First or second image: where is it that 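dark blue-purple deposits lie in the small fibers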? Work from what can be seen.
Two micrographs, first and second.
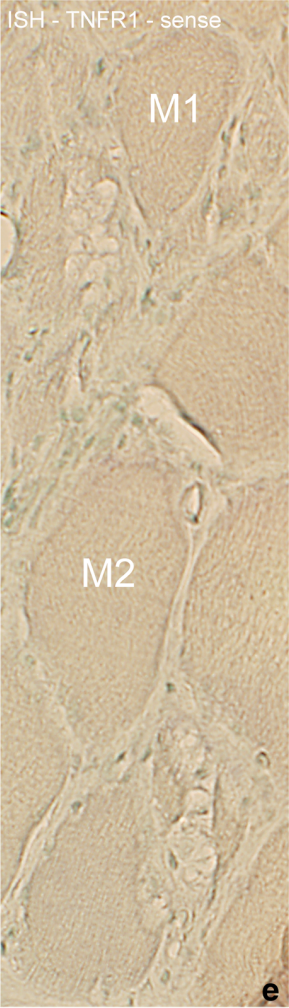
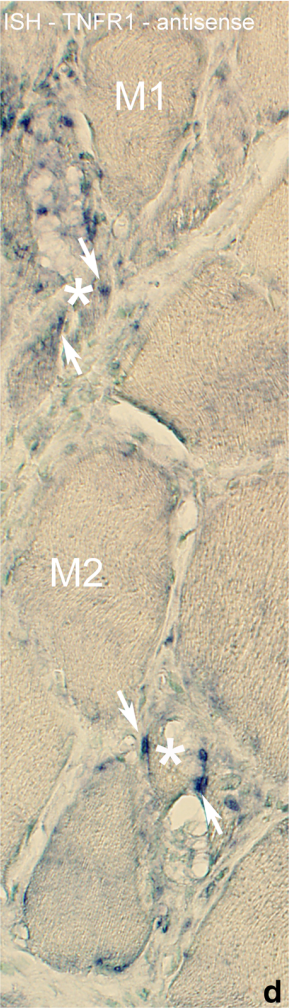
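First image: the small fibers are pale beige with no dark deposits. Second image: dark blue-purple dots lie in and around the small fibers. That points to this answer: the second image.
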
